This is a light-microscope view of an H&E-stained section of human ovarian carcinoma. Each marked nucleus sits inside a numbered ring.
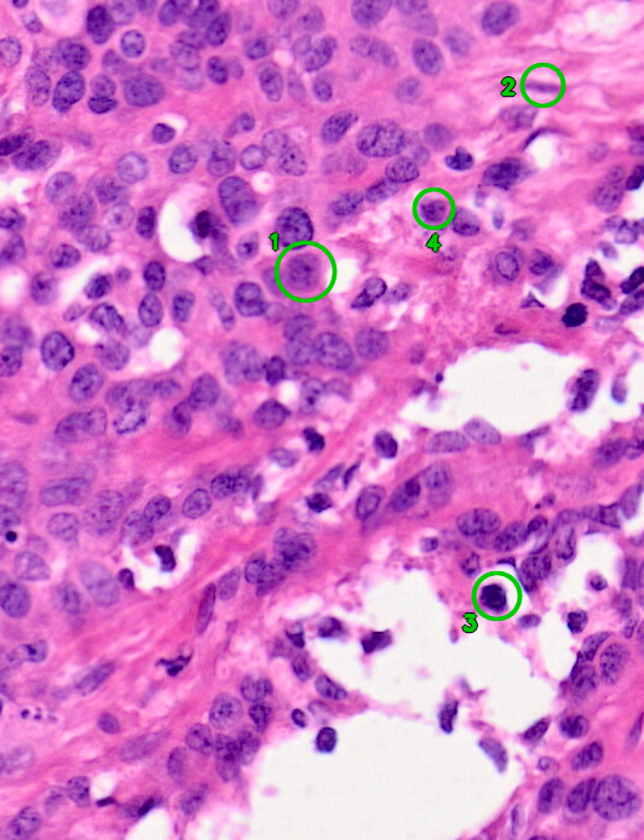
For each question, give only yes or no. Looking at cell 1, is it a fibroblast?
no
